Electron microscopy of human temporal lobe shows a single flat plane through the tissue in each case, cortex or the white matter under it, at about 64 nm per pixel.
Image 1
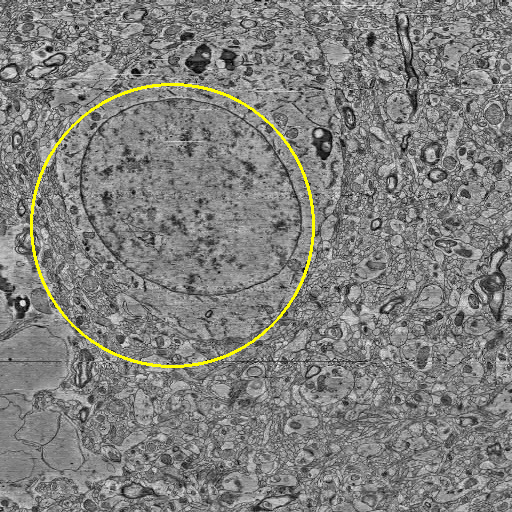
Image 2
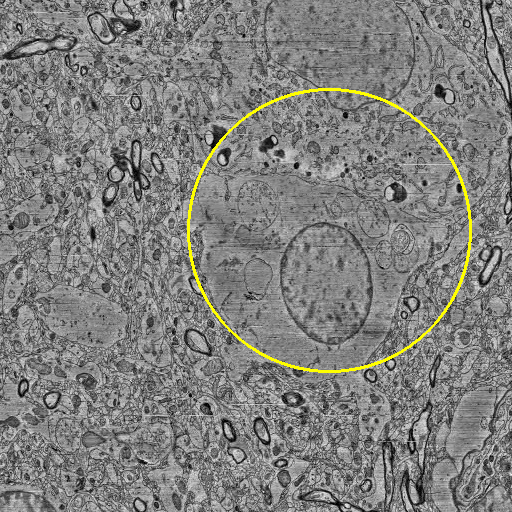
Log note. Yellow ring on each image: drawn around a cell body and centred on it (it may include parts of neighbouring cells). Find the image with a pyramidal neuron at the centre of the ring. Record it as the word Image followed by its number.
Image 1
